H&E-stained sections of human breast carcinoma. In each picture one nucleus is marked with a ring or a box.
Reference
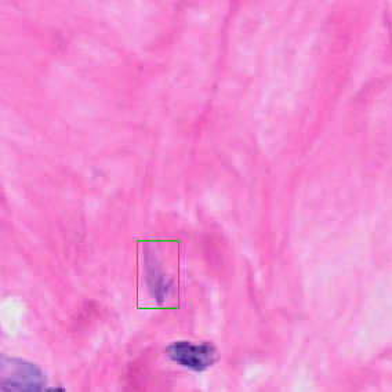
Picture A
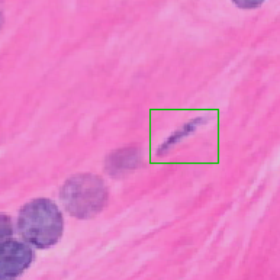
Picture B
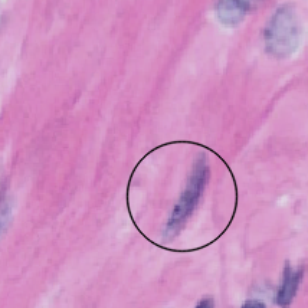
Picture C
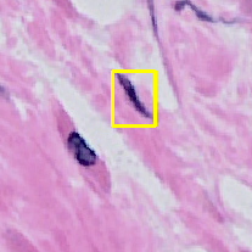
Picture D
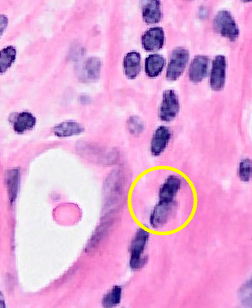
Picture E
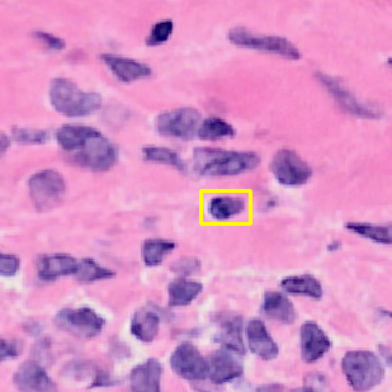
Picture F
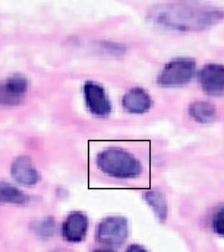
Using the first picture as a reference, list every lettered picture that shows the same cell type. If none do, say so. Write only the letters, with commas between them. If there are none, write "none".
A, B, C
